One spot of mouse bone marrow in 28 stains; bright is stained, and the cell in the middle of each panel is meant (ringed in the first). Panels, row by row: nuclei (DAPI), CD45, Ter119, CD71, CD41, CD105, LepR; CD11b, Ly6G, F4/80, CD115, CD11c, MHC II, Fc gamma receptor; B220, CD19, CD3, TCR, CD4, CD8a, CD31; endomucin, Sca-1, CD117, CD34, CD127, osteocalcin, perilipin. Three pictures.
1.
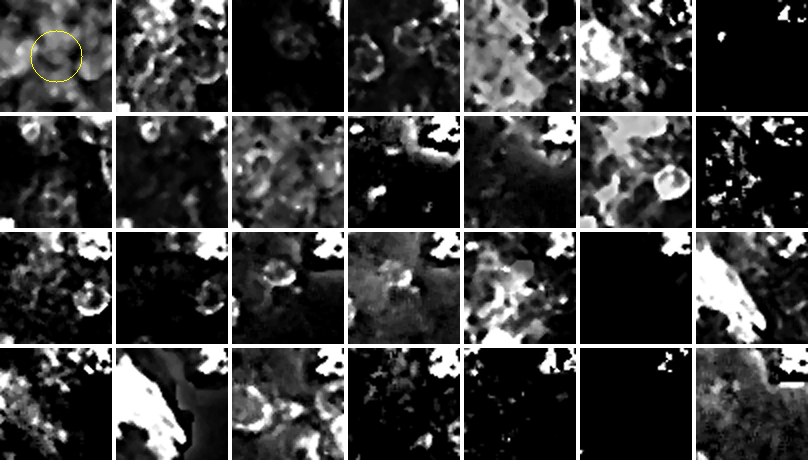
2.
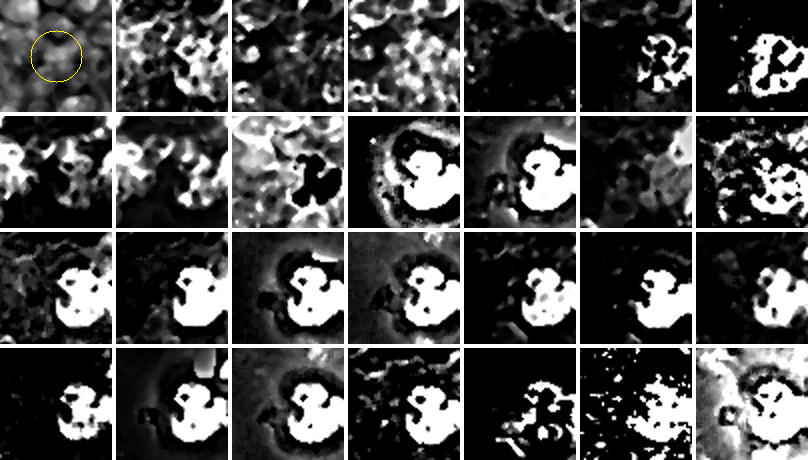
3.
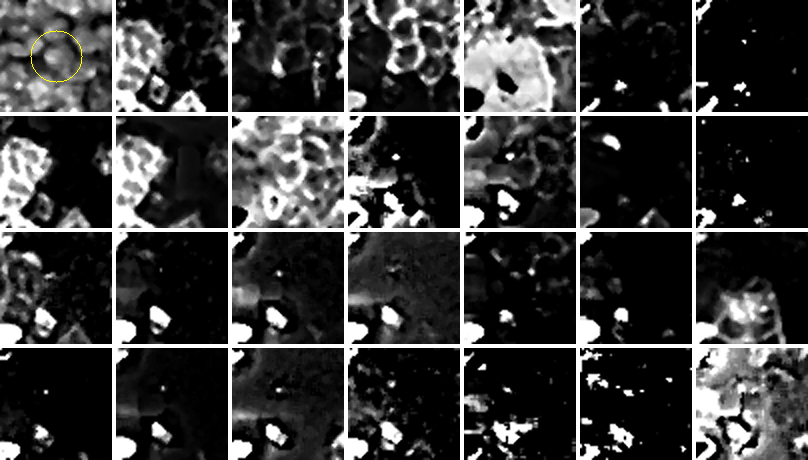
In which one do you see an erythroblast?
In picture 3.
